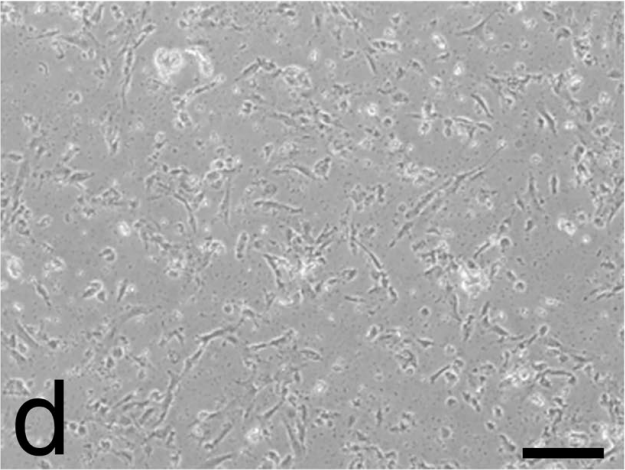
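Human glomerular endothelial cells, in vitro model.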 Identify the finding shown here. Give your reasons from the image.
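Cytoplasmic retraction and shrinking. Many cells are rounded and refractile. Large empty areas of substrate lie between cells. Remaining cells have thin, retracted cytoplasmic extensions.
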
